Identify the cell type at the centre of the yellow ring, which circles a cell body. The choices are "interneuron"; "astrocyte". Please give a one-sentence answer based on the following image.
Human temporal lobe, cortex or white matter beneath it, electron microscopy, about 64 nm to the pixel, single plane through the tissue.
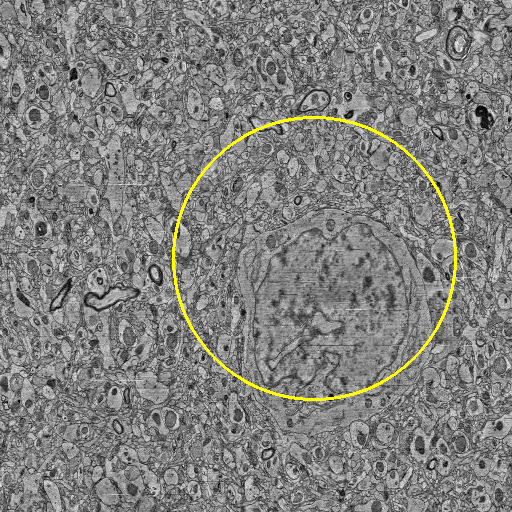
The cell marked by the ring is an interneuron.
